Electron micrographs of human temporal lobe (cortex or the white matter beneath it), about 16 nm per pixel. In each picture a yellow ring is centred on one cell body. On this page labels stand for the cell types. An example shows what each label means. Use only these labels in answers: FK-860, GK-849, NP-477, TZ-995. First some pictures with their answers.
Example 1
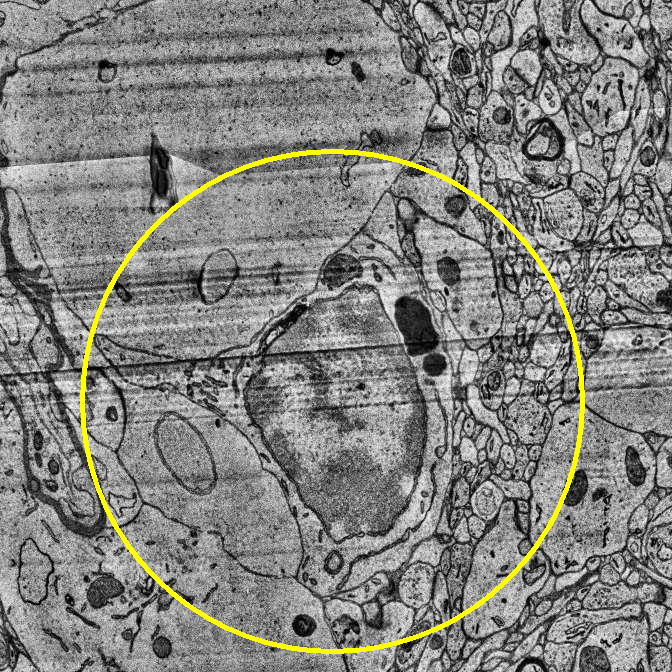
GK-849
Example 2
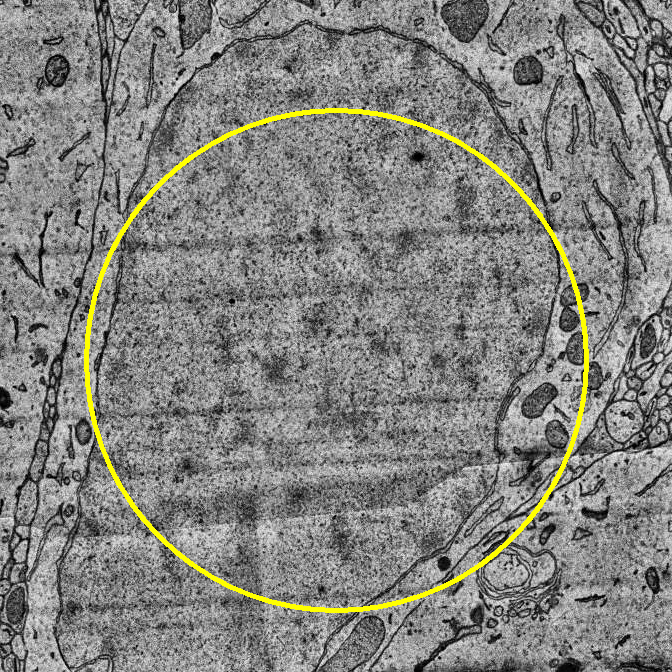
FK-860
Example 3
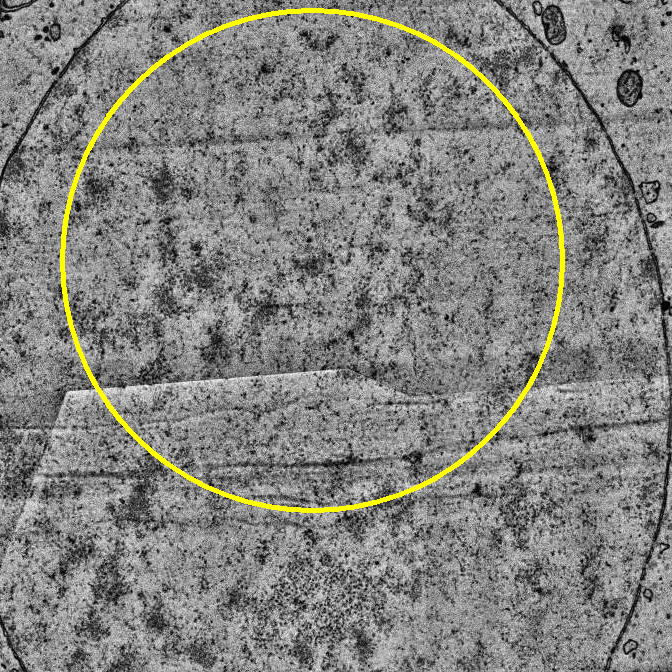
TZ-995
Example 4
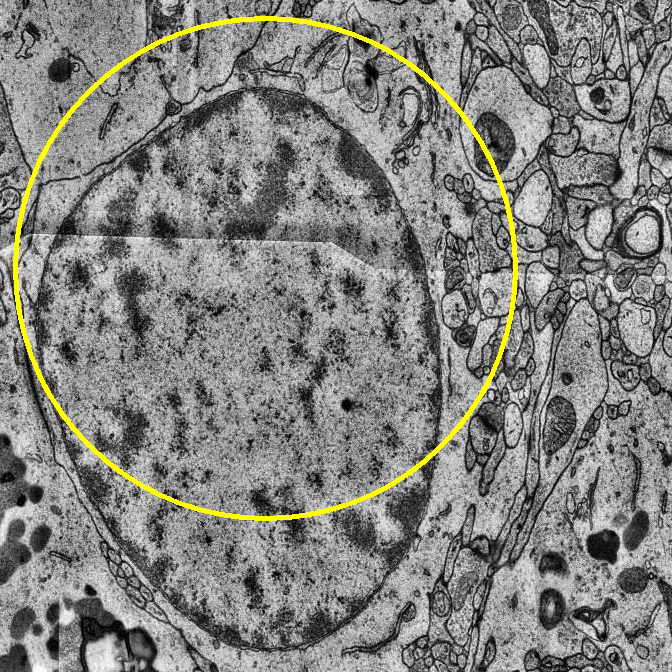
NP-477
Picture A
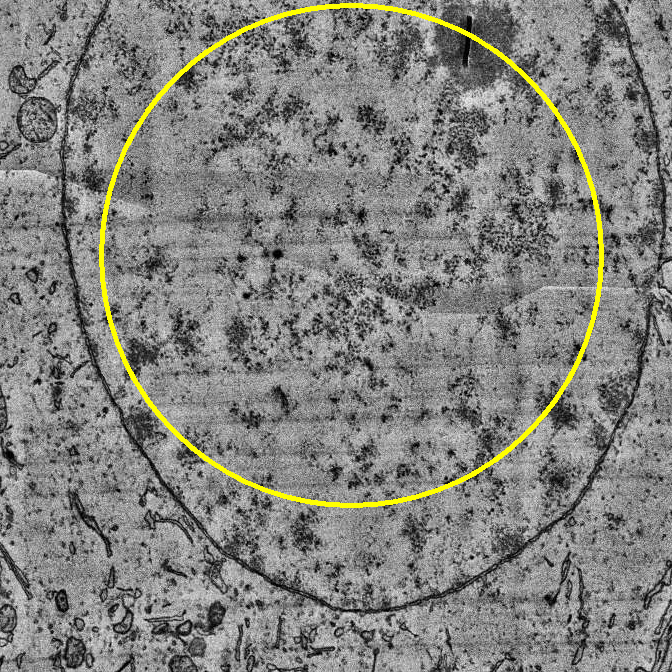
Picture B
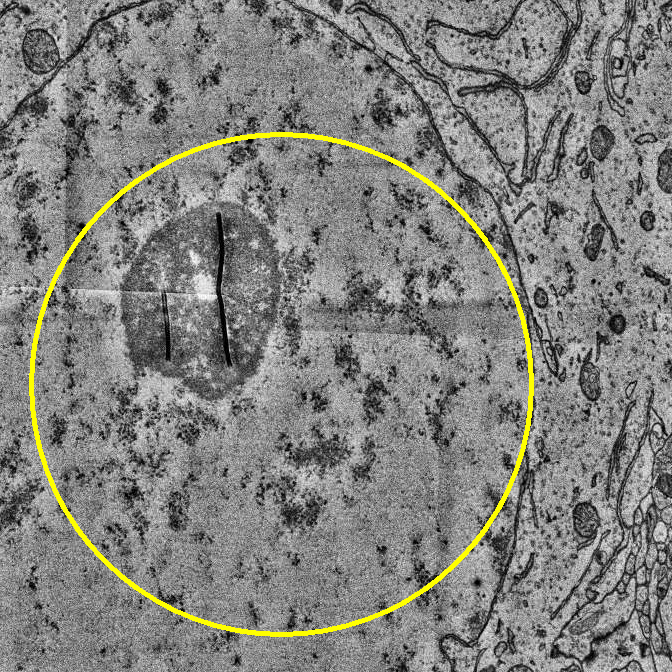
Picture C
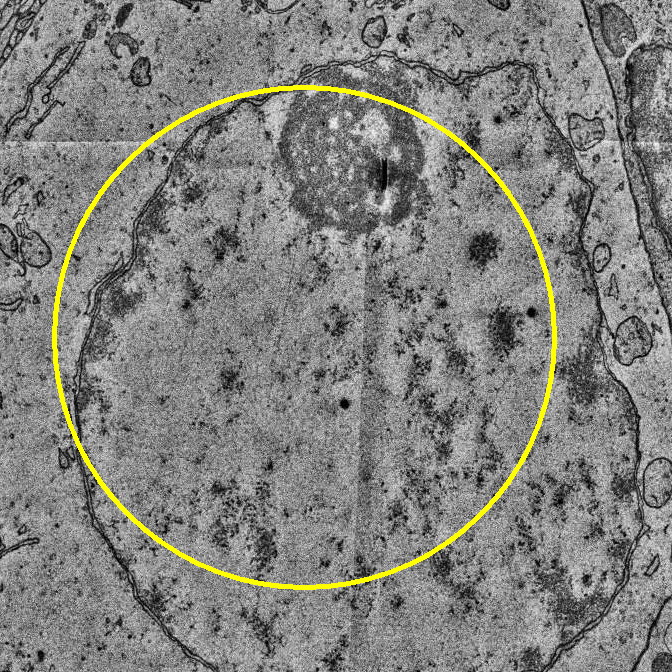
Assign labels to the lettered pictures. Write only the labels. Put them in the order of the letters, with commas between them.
TZ-995, TZ-995, FK-860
